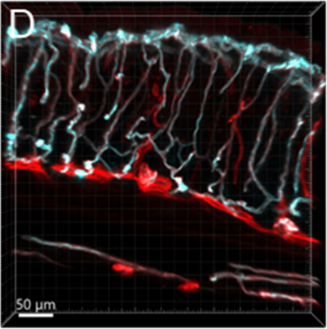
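This is the microvasculature of the colonic mucosa seen in section. A dense network of fine cyan-white vessels runs along the mucosal surface at the top. Deeper still, a few separate vessels run horizontally.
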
